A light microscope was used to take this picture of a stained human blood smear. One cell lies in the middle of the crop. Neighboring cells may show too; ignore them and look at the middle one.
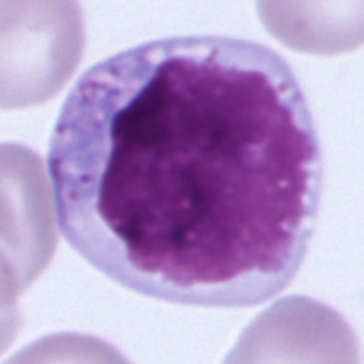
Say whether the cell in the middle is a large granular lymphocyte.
yes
